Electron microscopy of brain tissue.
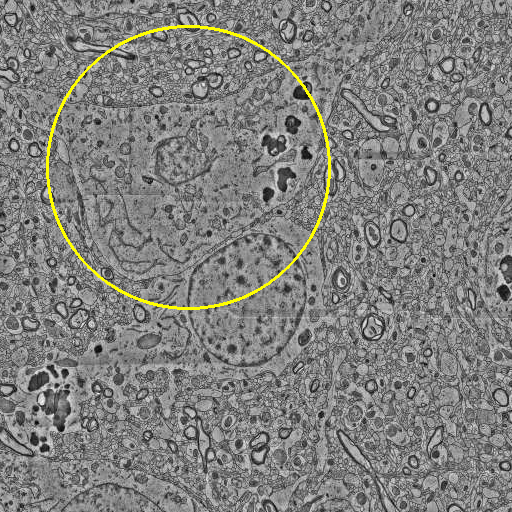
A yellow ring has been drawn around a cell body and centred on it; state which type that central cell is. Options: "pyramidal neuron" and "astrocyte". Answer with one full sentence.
The cell at the middle of the yellow ring is a pyramidal neuron in this picture.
